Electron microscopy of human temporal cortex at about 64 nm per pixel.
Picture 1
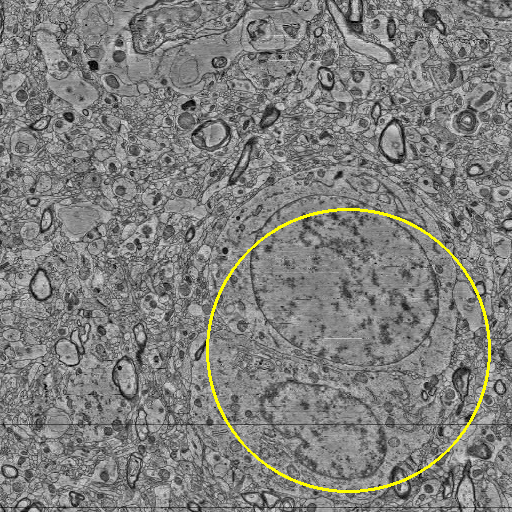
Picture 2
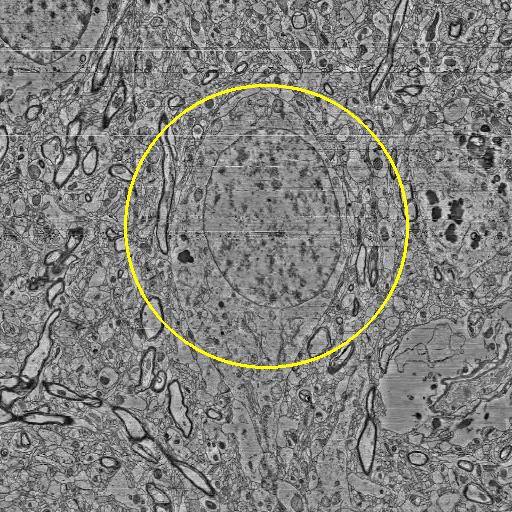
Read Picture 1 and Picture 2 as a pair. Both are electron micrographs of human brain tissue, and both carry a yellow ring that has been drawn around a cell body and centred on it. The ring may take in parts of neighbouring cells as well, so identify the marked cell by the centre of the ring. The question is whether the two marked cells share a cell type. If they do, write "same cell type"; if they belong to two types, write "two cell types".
two cell types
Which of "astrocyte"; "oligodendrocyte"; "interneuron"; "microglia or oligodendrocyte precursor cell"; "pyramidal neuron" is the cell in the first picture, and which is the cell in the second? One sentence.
The two differ: the first cell is a pyramidal neuron and the second is an interneuron.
